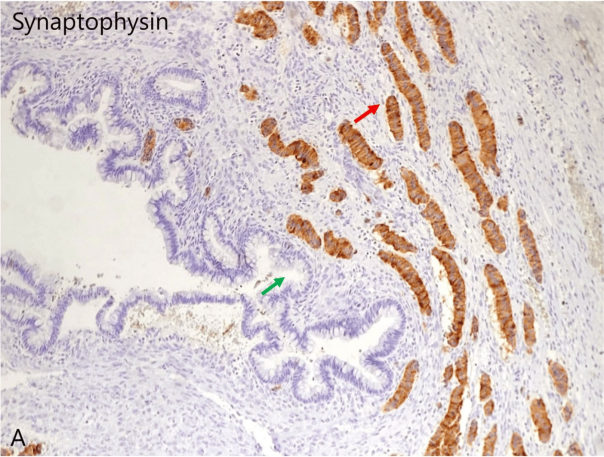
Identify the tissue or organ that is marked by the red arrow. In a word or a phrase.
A: Carcinoid component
